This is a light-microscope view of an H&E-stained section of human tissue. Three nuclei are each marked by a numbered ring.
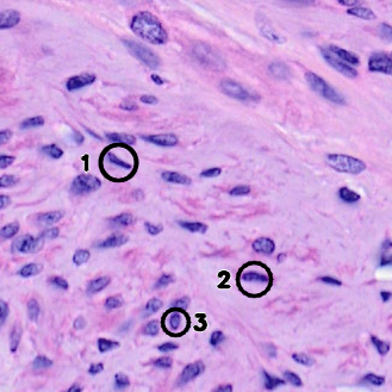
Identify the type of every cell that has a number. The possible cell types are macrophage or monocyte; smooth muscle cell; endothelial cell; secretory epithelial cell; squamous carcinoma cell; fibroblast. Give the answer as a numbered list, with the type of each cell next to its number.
1. fibroblast
2. smooth muscle cell
3. smooth muscle cell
